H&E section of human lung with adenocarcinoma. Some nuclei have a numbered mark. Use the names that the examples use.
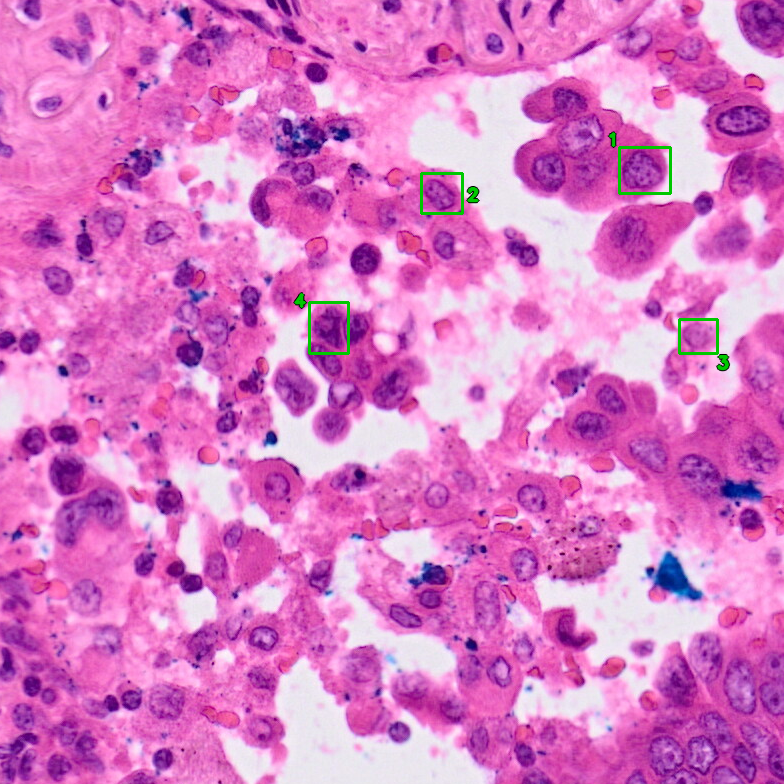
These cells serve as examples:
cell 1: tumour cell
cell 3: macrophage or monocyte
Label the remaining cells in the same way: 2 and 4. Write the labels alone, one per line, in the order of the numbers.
macrophage or monocyte
tumour cell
